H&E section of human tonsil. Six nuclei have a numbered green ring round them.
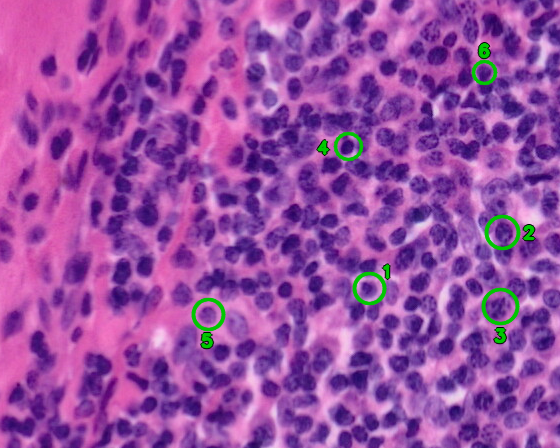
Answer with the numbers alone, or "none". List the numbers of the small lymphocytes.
1, 4, 6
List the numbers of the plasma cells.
2, 3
